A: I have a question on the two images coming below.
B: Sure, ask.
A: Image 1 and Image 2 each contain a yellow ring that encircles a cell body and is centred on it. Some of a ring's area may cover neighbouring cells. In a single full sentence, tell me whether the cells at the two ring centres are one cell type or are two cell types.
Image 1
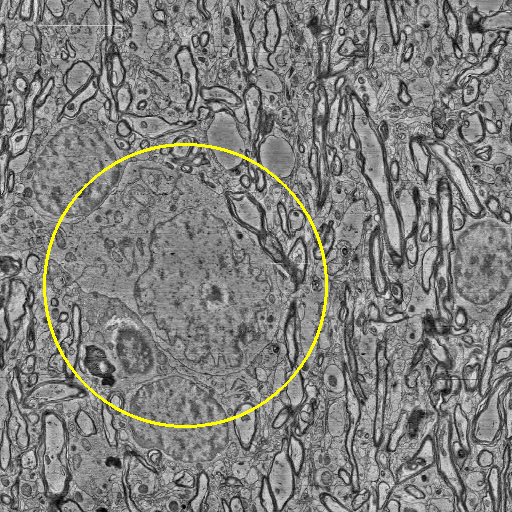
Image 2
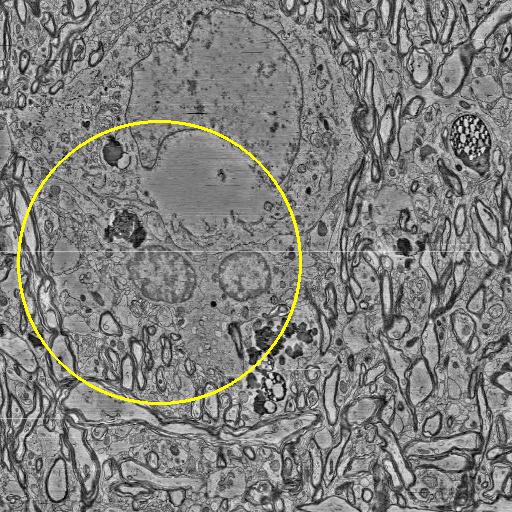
As for the ring-centre cells, the one in Image 1 and the one in Image 2 are two cell types.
